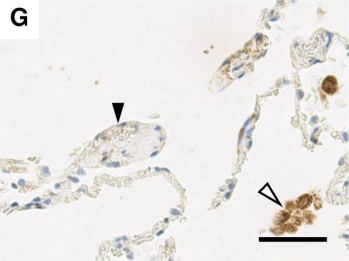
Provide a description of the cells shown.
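Normal lung with thin alveolar septa enclosing wide air spaces; a cluster of rounded alveolar macrophages lies free in an air space, their cytoplasm stained dark brown. A widened alveolar tip with a few cells stains only faintly, and the thin septal walls carry small blue nuclei.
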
